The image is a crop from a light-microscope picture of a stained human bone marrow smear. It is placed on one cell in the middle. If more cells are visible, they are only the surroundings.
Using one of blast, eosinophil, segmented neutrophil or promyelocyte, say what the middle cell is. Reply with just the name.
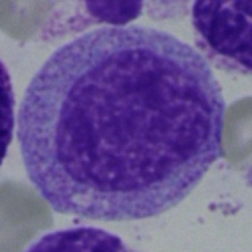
promyelocyte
